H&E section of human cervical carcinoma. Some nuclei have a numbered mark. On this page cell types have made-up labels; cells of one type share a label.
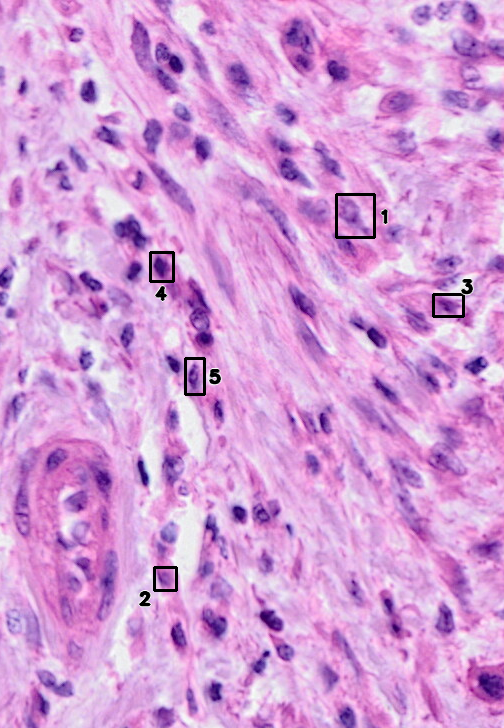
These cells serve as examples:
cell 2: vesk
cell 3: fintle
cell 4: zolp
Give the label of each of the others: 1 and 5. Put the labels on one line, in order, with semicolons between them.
fintle; vesk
